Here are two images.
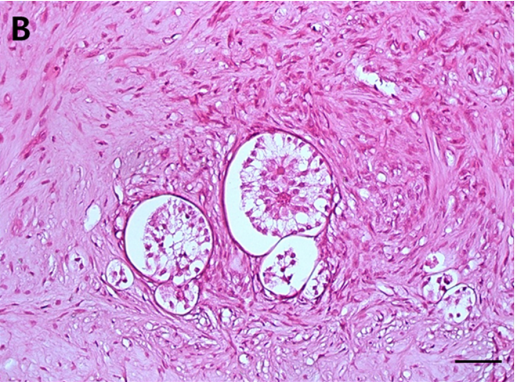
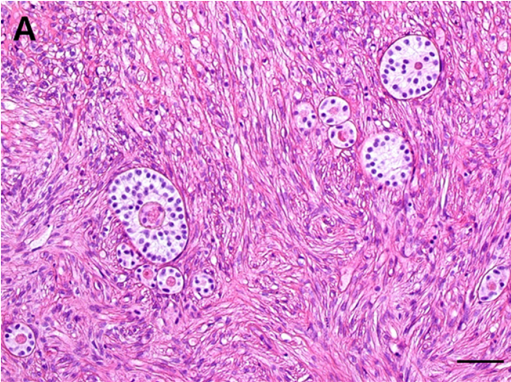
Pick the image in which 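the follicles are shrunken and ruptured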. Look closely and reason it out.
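The first image. First image: follicle contents are retracted from their rims with clear spaces and loose, vacuolated cells. Second image: follicles are compact with smooth outlines and orderly rings of cells around a central cell.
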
